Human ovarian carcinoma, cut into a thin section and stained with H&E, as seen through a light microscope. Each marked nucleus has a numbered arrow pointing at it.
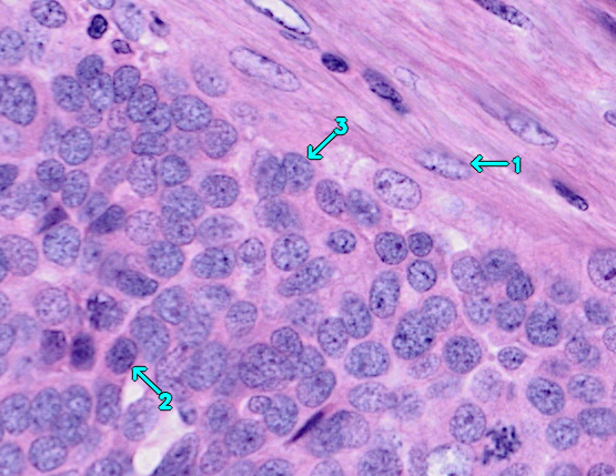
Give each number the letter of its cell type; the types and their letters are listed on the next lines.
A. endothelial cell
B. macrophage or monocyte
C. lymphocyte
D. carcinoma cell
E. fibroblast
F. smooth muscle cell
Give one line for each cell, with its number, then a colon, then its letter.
1: E
2: D
3: D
